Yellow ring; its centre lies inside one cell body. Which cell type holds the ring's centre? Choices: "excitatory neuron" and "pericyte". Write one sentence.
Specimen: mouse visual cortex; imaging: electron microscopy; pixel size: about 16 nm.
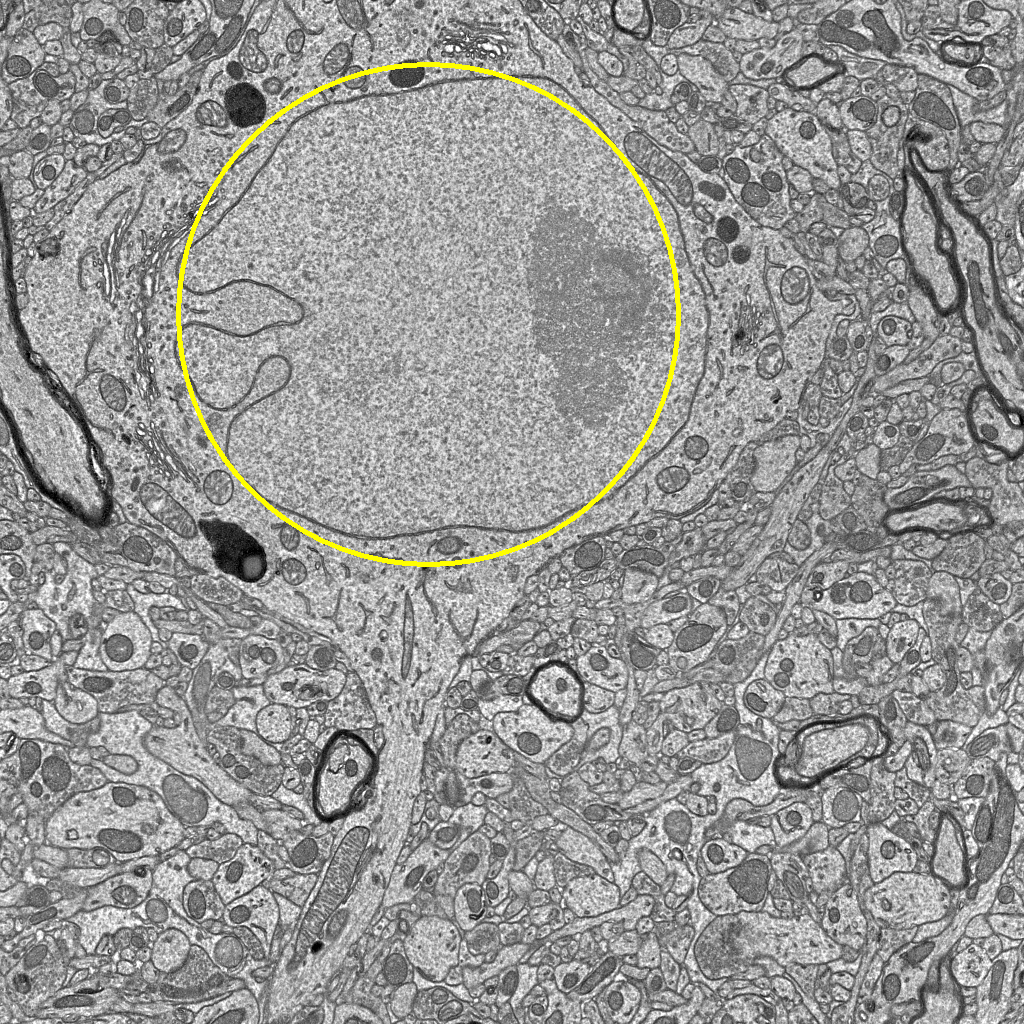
At the centre of the ring sits an excitatory neuron.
